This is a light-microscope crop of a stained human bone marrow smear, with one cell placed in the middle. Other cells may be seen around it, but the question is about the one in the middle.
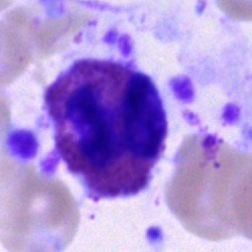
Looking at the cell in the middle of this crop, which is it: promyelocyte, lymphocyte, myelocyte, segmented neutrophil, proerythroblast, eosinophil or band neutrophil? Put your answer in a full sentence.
The single cell at the center of the crop is an eosinophil.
